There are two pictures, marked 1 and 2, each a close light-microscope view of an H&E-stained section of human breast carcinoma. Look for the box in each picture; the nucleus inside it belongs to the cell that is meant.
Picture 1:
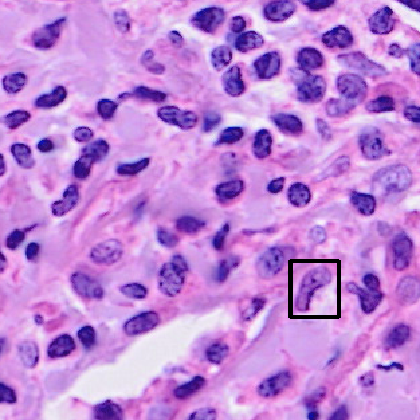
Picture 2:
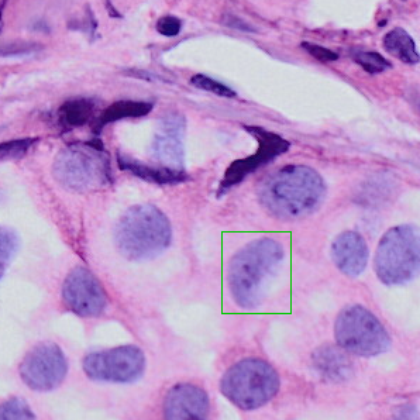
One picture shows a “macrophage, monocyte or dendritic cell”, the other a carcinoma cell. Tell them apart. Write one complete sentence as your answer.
Picture 1 shows a “macrophage, monocyte or dendritic cell” and picture 2 shows a carcinoma cell.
